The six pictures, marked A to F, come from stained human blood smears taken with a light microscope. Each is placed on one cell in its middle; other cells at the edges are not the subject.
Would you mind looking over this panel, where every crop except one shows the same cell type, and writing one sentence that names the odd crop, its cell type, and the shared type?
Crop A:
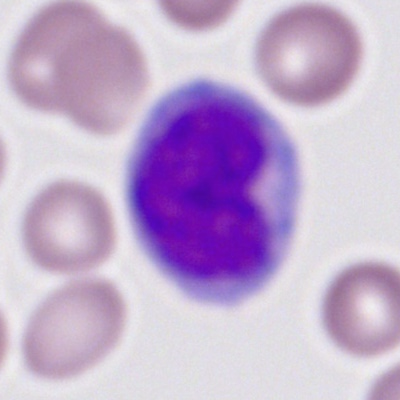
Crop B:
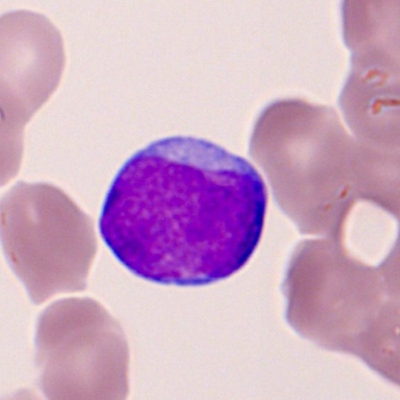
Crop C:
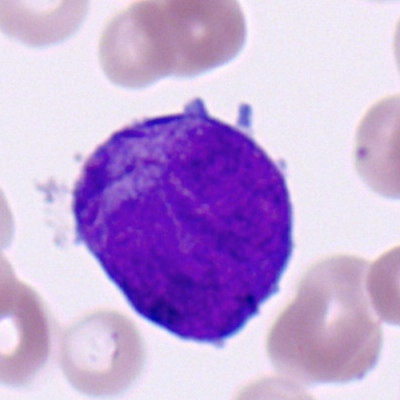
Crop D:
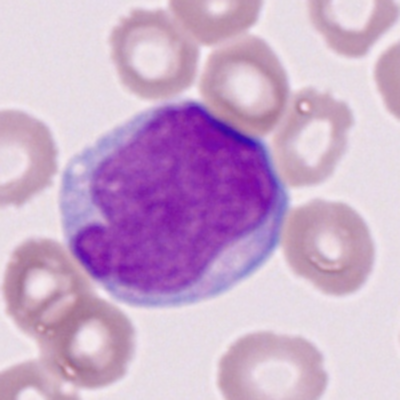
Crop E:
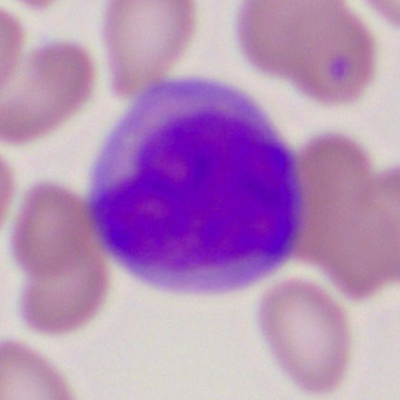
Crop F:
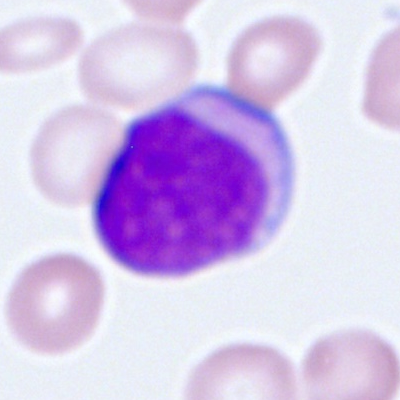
Apart from crop A, which shows a monocyte, every crop shows myeloblasts.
